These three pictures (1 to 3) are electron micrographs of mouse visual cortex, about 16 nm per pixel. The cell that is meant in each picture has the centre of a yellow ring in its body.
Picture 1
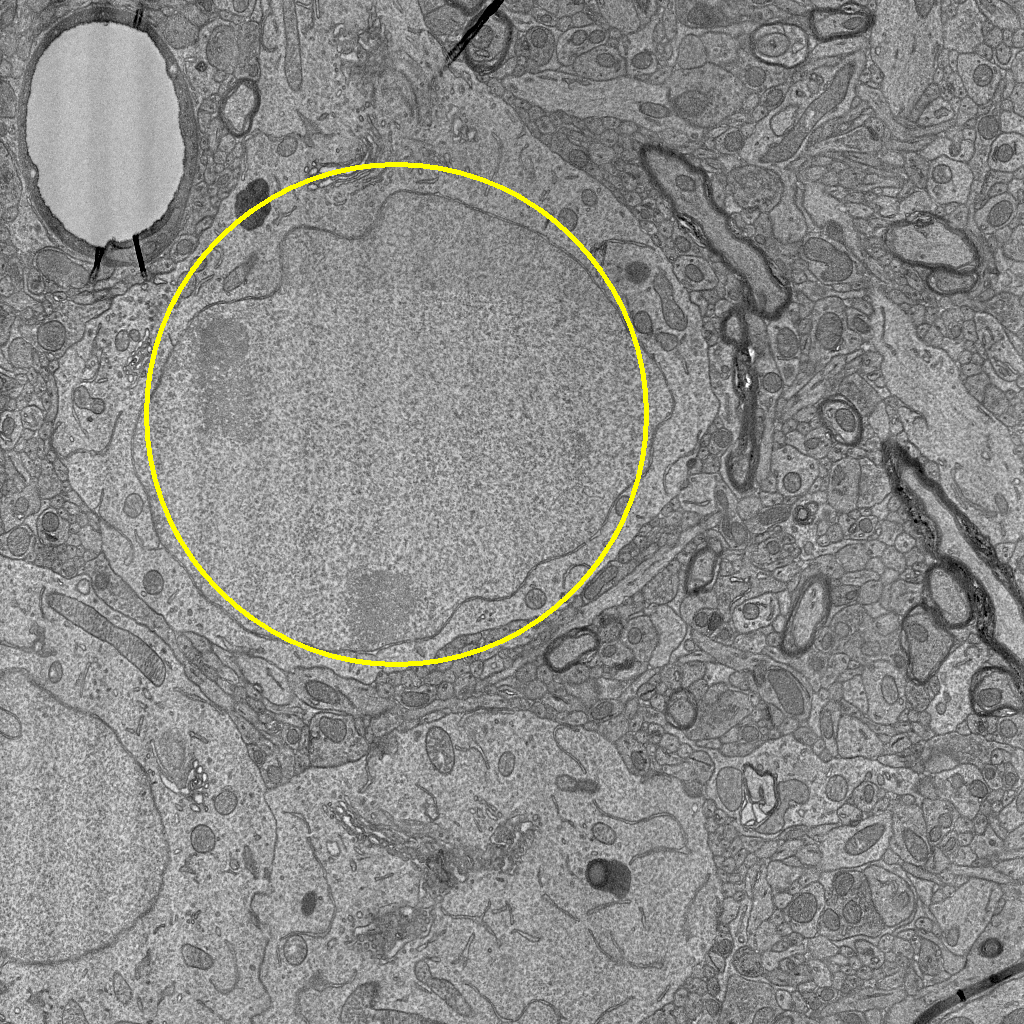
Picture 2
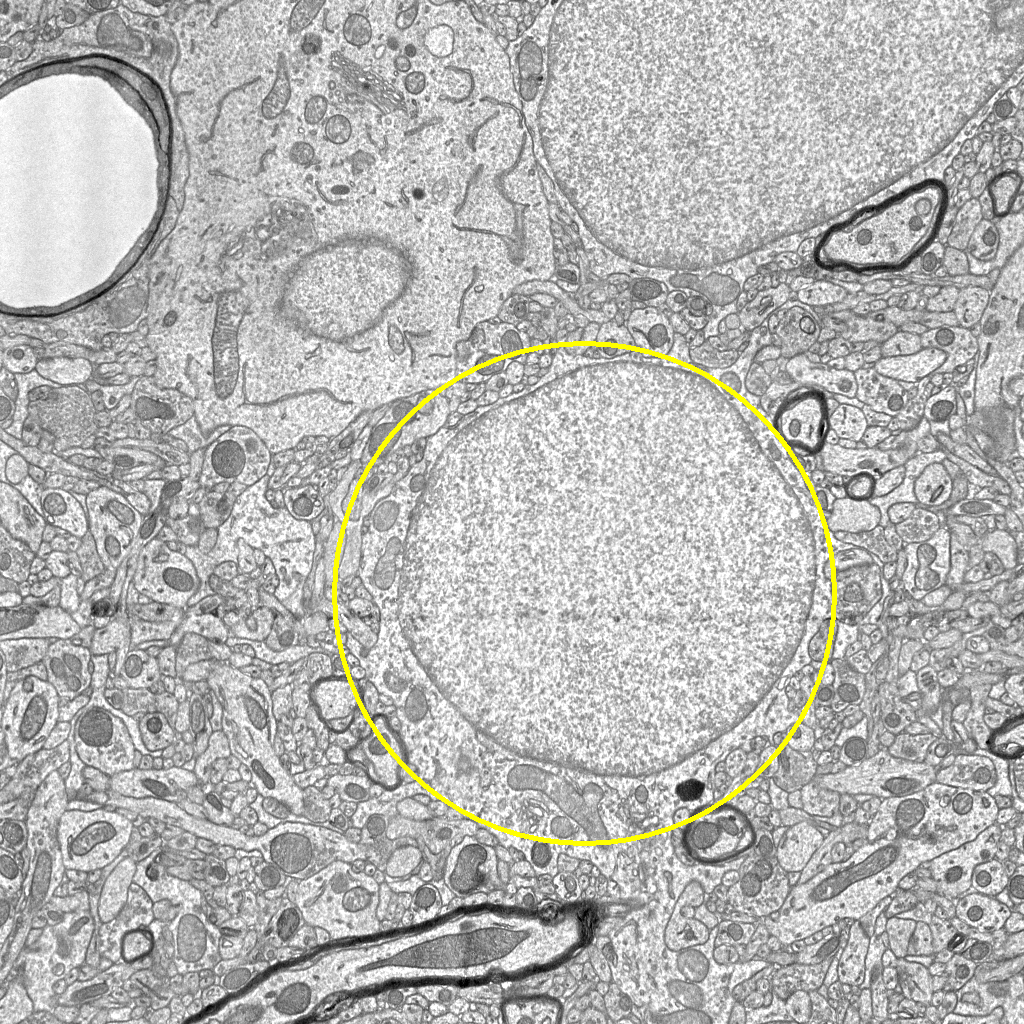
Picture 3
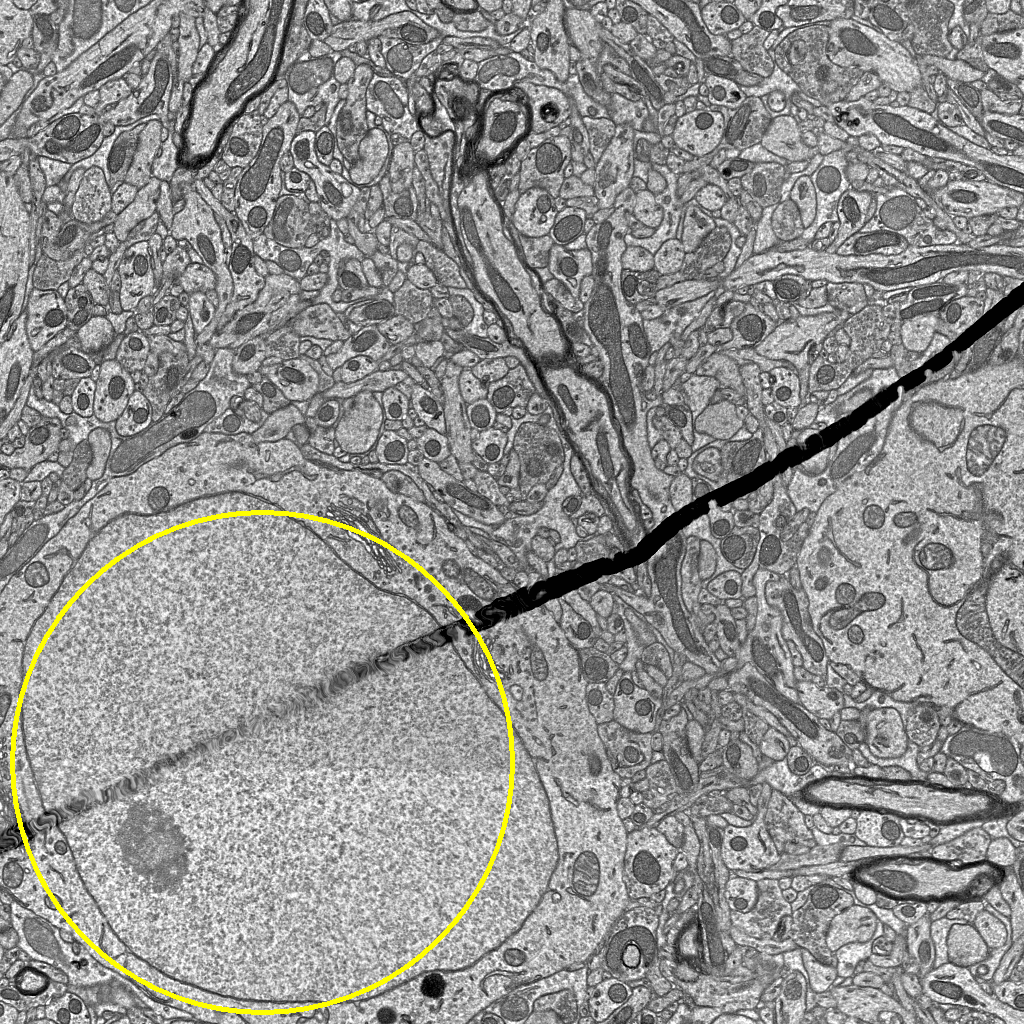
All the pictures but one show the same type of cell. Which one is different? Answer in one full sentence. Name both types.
All pictures except 2 show excitatory neurons; picture 2 shows an astrocyte.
